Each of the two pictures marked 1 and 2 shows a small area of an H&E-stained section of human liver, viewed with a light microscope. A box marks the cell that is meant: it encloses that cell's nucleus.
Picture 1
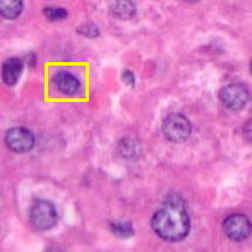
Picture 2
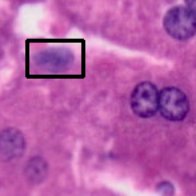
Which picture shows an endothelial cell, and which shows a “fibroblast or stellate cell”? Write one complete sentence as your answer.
The cell in picture 1 is a “fibroblast or stellate cell”, and the one in picture 2 is an endothelial cell.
